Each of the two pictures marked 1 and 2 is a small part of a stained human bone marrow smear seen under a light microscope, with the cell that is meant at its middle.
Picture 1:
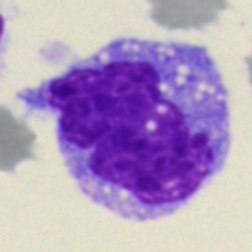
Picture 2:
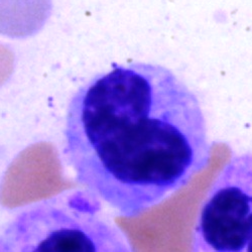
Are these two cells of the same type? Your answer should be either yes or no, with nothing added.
no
